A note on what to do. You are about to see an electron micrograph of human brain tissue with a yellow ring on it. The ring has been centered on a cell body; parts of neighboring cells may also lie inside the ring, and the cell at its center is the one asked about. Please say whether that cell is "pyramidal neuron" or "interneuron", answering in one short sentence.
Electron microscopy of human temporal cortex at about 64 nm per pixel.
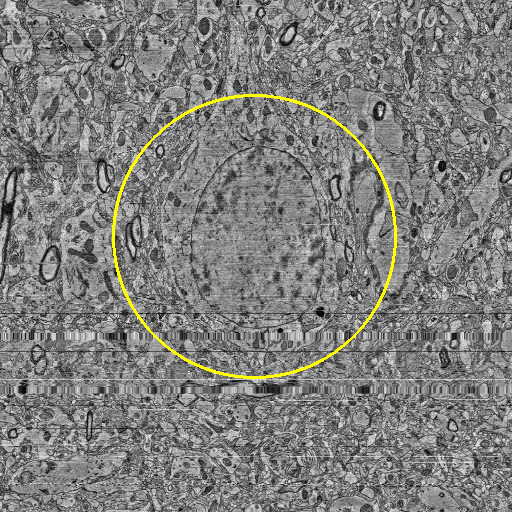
The yellow ring sits on a pyramidal neuron.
